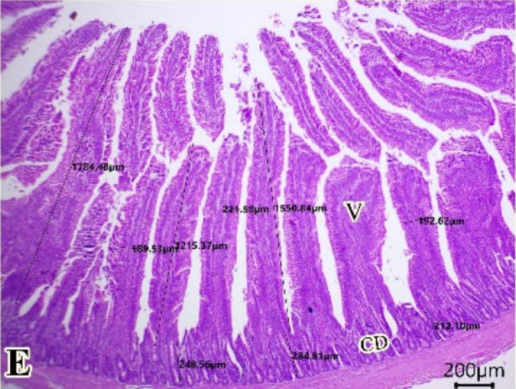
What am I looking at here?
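Here the intestinal mucosa is seen in section, with long, closely set villi rising from the wall toward the lumen at the top. Narrow clear clefts separate neighbouring villi. Along the bottom runs the crypt layer, a band of small glands at the villus bases, bordered by a thin pink outer layer.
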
